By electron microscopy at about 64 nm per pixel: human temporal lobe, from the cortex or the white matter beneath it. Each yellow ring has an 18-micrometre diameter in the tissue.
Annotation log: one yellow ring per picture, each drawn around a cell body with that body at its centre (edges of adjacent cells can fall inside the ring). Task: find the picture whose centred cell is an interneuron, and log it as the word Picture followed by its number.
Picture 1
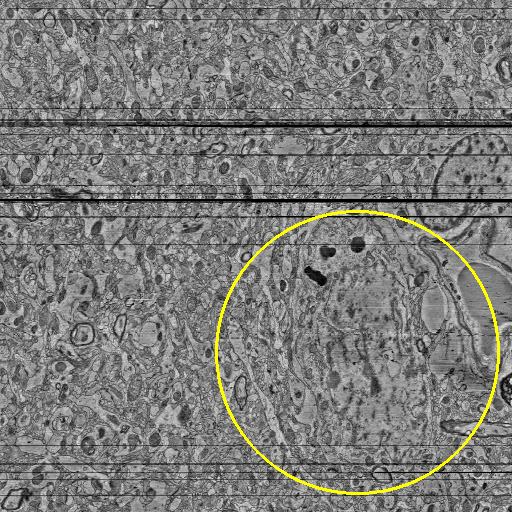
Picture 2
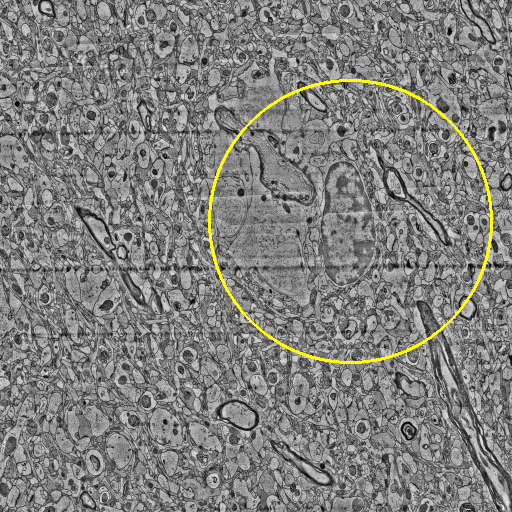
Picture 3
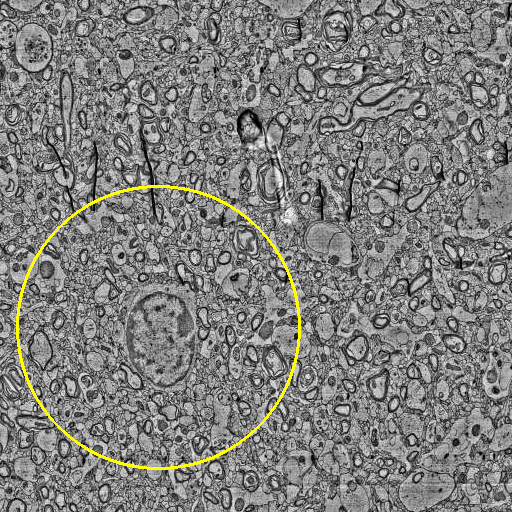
Picture 1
